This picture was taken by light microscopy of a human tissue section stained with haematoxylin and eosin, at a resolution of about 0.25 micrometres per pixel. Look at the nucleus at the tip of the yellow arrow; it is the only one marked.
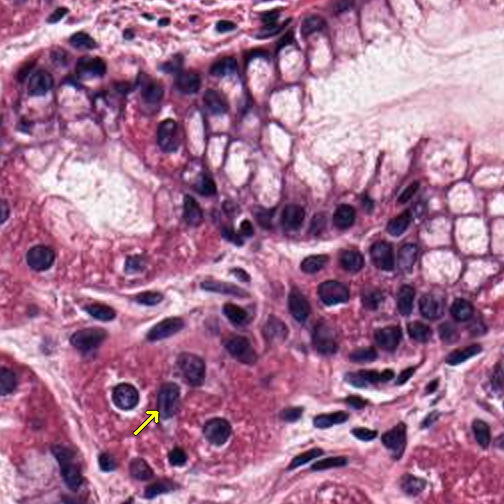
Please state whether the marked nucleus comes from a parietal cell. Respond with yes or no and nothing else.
yes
